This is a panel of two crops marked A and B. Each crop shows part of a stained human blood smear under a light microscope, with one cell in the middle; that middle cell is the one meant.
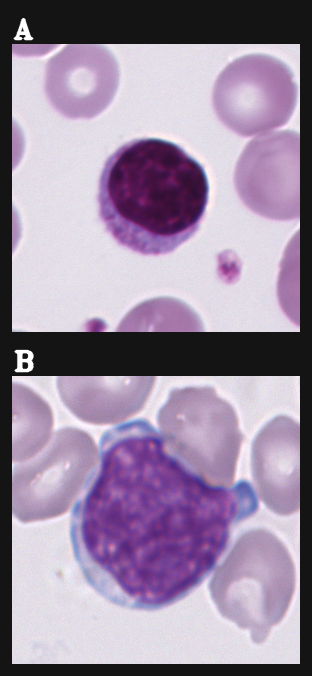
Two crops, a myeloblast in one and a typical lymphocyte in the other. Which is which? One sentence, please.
The one in crop A is a typical lymphocyte, and the one in crop B is a myeloblast.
